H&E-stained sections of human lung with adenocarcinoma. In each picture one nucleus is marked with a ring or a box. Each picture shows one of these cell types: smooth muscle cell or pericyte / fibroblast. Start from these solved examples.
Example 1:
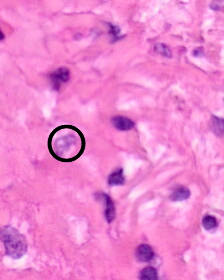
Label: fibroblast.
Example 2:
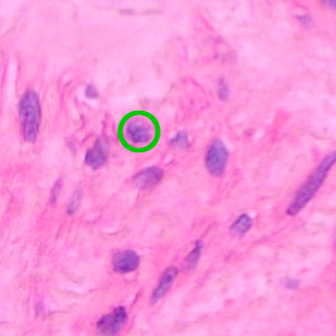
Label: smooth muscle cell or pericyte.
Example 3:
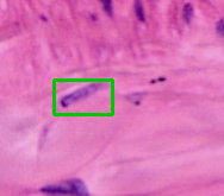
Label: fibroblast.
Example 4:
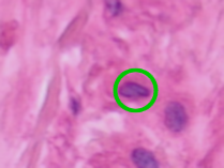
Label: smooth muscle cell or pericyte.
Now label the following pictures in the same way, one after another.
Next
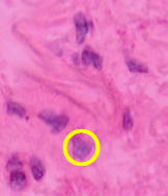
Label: smooth muscle cell or pericyte.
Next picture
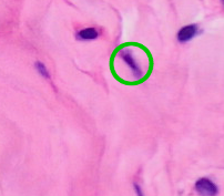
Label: fibroblast.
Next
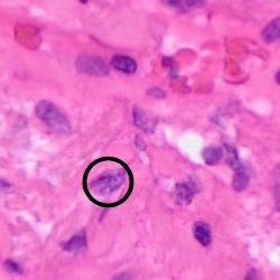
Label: fibroblast.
